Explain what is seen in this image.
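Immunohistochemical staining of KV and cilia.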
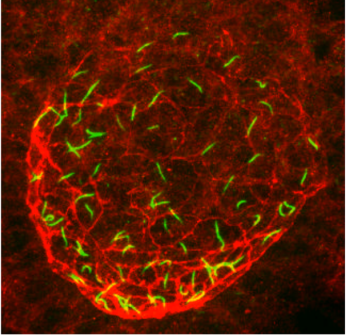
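A round epithelial vesicle is seen from above, its cells outlined by a red network of cell borders that is densest along the lower rim. From many of the cells a single thin green cilium projects, long and often curved, scattered across the whole vesicle.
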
